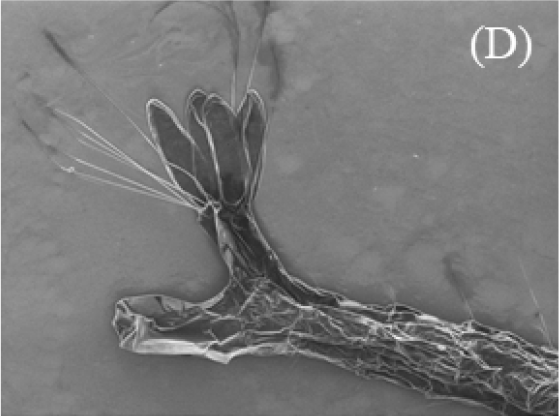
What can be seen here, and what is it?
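A scanning electron view of the end of a larval abdomen shows a wrinkled cuticle ending in four slender, smooth-walled lobes clustered together, with a fan of long setae nearby. These are the anal papillae, elongated and intact.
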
